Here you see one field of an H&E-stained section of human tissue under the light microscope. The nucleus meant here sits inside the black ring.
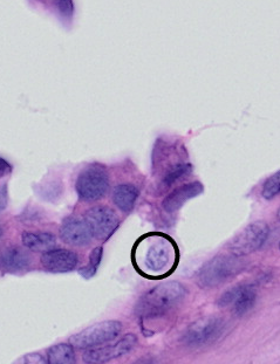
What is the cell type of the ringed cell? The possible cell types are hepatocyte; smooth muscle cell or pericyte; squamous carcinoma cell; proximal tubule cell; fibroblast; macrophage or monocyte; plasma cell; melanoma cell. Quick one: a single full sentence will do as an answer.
Histopathologically, the ringed cell is a macrophage or monocyte.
